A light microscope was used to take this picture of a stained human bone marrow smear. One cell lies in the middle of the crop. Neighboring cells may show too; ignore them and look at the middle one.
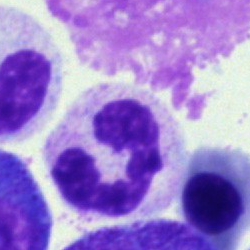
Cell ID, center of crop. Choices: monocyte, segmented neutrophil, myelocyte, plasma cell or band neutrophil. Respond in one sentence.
The central cell shown in this smear crop is a segmented neutrophil.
